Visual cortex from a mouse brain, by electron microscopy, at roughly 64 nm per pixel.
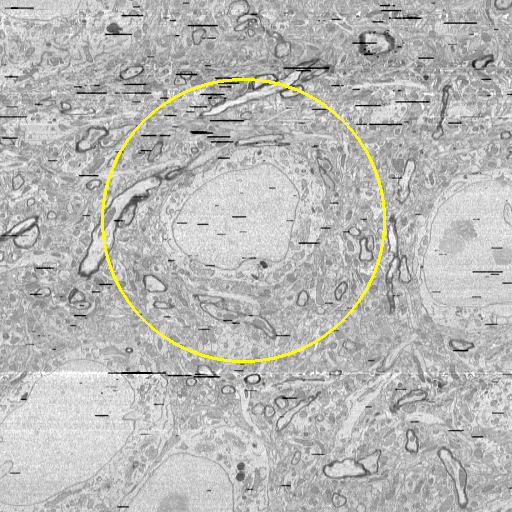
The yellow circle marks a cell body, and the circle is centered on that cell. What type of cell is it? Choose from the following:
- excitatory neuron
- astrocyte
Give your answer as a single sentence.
This cell body belongs to an excitatory neuron.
